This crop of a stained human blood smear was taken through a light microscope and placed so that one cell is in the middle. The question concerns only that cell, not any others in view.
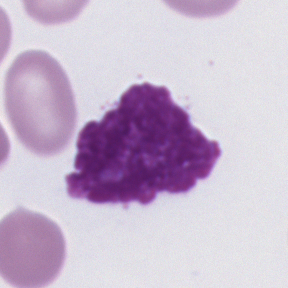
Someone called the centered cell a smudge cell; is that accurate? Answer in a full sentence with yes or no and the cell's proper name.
Yes, what sits in the middle of the crop is a smudge cell.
